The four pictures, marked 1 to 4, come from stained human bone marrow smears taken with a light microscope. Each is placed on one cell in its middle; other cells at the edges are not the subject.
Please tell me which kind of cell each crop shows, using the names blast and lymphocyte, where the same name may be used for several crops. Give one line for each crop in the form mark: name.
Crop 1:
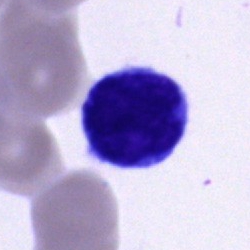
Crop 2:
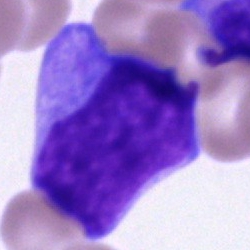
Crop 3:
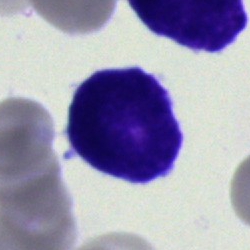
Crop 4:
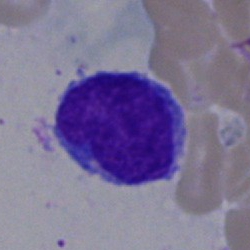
1: lymphocyte
2: blast
3: blast
4: blast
